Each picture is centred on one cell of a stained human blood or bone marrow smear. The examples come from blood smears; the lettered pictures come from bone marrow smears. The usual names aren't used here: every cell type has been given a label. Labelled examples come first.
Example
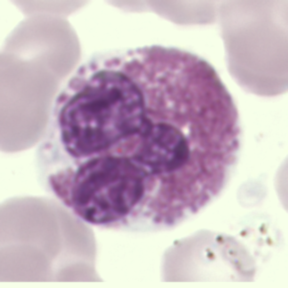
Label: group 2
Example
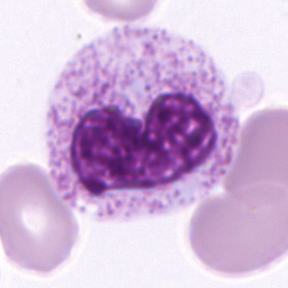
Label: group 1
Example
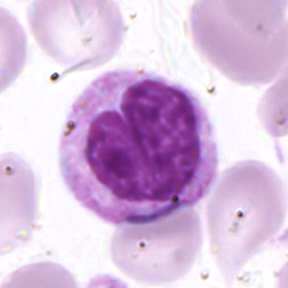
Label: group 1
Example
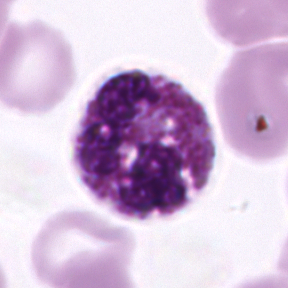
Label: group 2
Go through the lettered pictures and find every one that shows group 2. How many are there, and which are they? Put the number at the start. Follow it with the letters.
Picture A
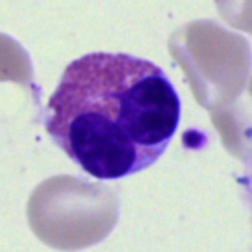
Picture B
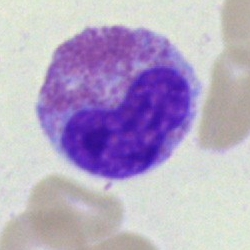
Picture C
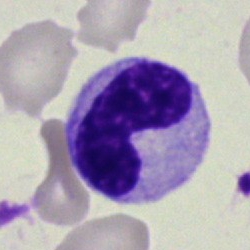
2: A, B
